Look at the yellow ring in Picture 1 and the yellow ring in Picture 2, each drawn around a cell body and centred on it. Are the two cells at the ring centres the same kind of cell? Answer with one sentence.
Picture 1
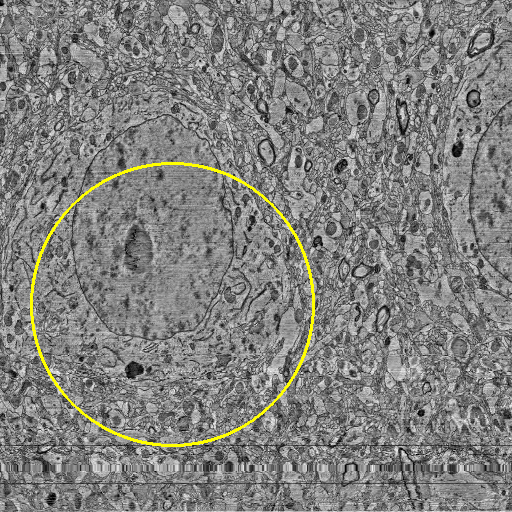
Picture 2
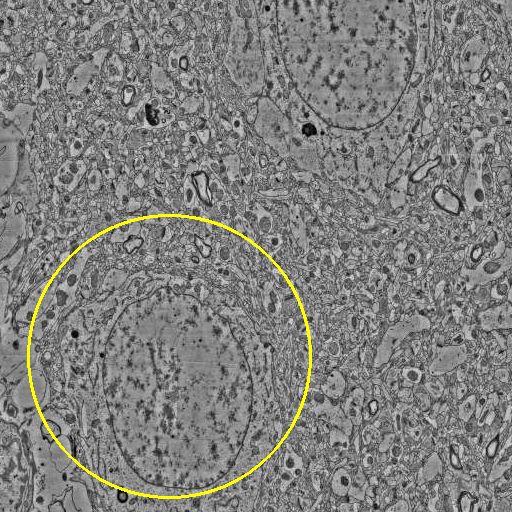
Yes, both are the same kind of cell.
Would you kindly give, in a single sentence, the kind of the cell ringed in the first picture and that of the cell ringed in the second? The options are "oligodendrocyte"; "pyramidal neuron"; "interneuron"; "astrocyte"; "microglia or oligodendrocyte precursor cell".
The cell at the ring centre is a pyramidal neuron in both pictures.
